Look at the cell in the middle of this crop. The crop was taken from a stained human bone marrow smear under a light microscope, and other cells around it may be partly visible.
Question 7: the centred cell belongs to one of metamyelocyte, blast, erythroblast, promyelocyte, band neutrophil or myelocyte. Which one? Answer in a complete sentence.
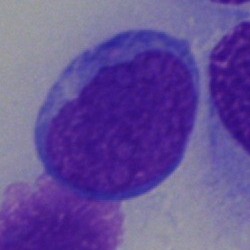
Present in the middle of the crop is a blast.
